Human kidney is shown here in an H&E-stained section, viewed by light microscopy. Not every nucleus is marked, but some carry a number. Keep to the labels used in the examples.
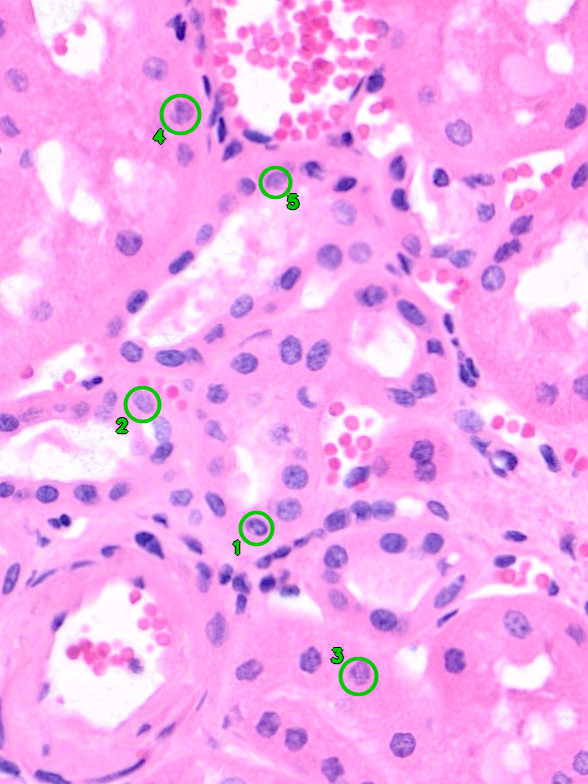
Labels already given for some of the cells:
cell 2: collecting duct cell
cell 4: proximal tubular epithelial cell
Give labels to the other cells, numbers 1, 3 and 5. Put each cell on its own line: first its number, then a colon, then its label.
1: collecting duct cell
3: proximal tubular epithelial cell
5: collecting duct cell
